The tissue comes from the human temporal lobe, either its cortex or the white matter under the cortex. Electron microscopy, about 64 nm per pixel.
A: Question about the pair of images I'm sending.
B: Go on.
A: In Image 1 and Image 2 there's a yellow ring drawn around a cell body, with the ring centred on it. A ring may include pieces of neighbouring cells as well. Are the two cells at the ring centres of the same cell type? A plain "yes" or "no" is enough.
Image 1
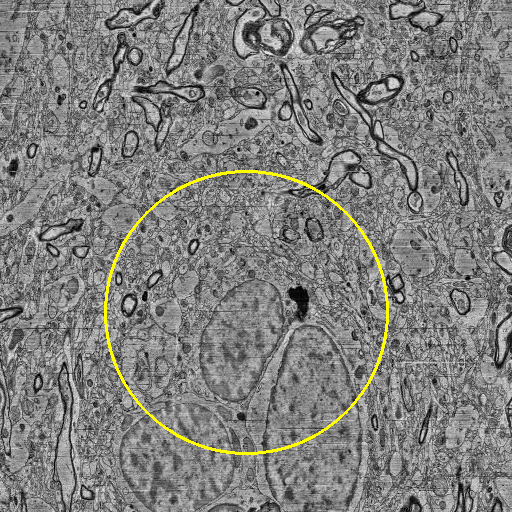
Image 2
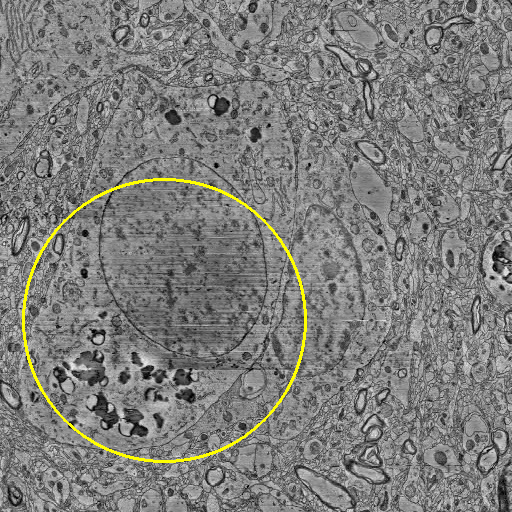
no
